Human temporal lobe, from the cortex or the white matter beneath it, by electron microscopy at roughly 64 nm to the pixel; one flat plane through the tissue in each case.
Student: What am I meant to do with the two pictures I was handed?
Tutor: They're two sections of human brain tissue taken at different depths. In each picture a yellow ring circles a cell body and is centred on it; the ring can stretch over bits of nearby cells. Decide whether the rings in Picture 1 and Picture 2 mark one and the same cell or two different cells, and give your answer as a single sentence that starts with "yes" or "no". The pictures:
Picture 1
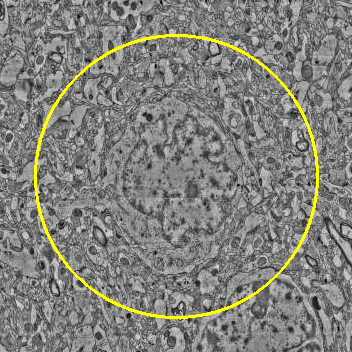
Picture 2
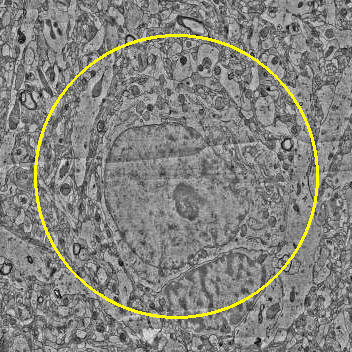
No, the two rings mark two different cells.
